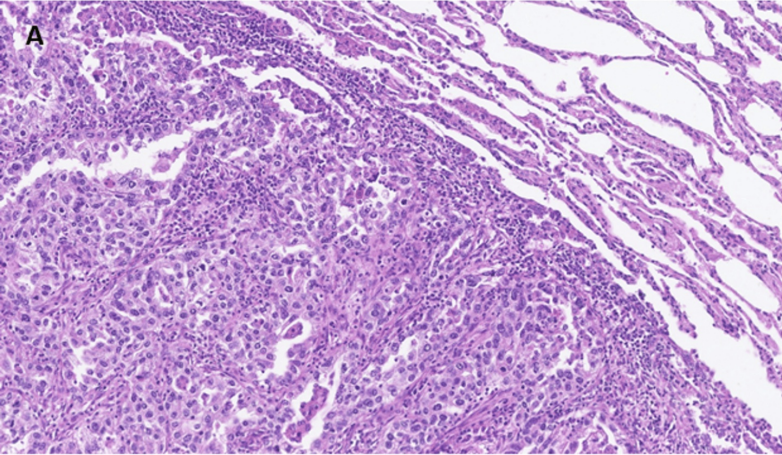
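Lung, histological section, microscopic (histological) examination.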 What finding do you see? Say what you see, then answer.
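A cellular tumor of large pleomorphic epithelial cells with pink cytoplasm lies beside thin-walled air spaces. Nuclei are enlarged and oval with visible nucleoli. A few slit-like glandular spaces occur within the tumor. That points to this answer: adenocarcinoma.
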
